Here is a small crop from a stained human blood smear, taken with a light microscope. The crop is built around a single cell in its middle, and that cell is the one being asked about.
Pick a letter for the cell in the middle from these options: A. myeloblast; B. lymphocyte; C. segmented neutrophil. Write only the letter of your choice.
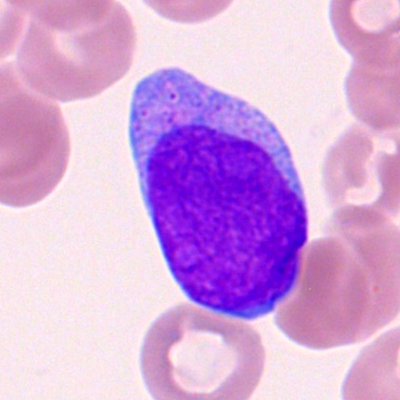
A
